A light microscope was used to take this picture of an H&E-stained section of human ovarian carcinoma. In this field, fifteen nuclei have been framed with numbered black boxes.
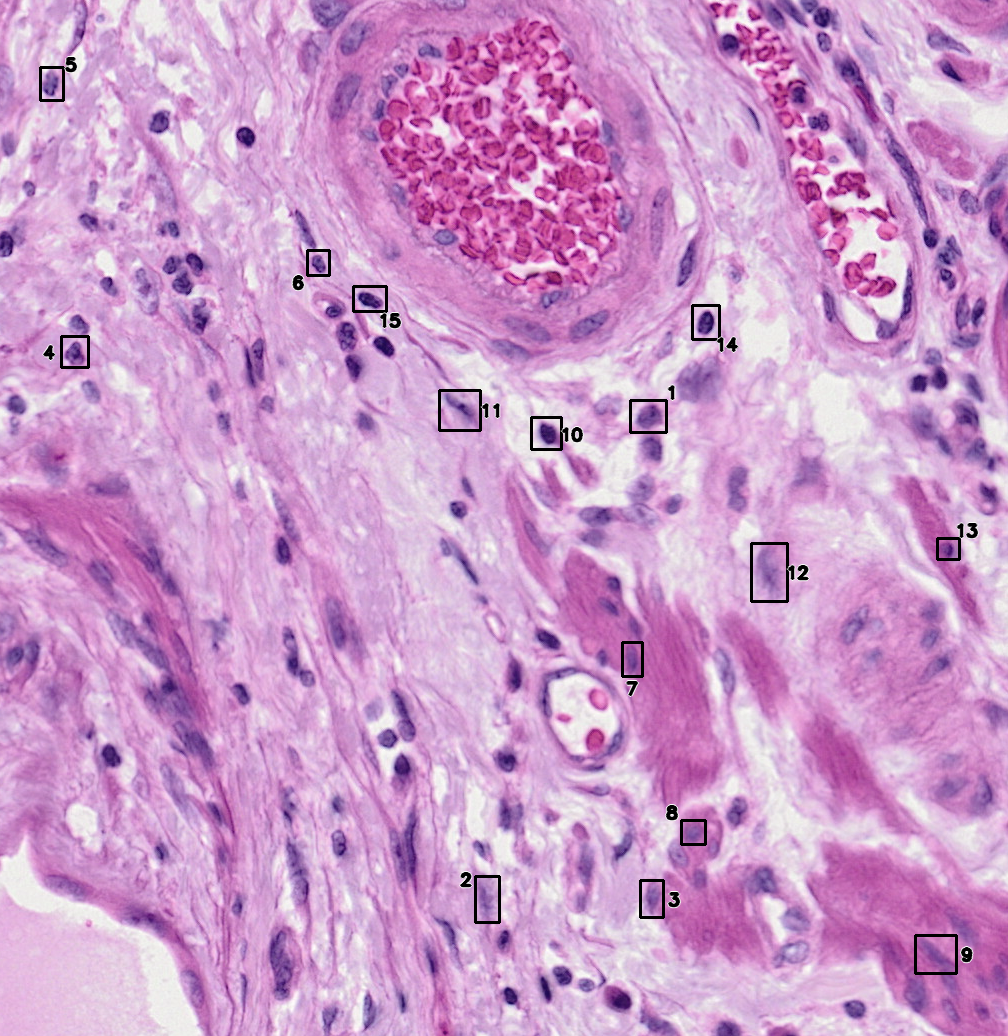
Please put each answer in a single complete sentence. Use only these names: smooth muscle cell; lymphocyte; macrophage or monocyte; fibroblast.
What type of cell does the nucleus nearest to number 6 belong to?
The cell nearest to number 6 is a fibroblast.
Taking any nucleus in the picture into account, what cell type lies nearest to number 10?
Closest to number 10 lies the nucleus of a macrophage or monocyte.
